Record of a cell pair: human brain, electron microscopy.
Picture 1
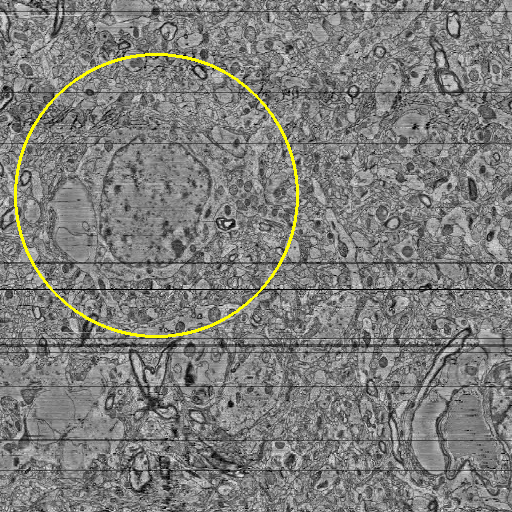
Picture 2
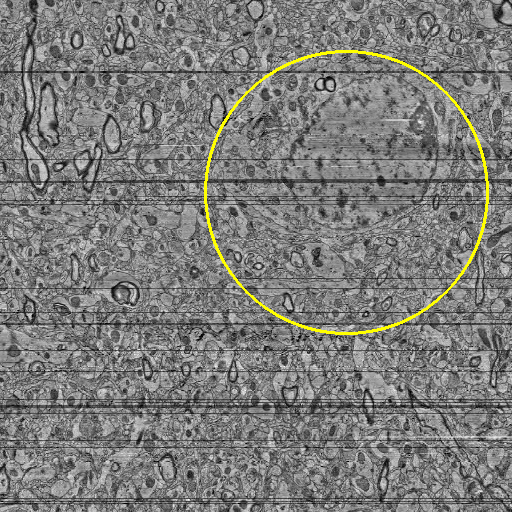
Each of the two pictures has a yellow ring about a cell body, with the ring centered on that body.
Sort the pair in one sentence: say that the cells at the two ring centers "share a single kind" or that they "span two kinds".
The cells centered in the rings of Pictures 1 and 2 share a single kind.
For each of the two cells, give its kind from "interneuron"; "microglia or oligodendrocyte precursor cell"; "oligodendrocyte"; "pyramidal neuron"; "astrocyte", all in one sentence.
Both pictures show an interneuron at the centre of the ring.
